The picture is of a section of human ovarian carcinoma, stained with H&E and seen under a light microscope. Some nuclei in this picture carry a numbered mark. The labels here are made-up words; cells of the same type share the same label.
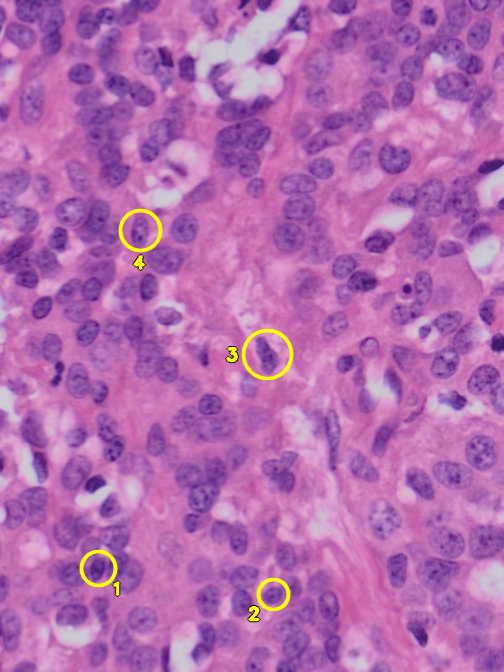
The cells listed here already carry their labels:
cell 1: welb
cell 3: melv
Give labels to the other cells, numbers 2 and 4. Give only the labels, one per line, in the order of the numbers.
melv
melv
